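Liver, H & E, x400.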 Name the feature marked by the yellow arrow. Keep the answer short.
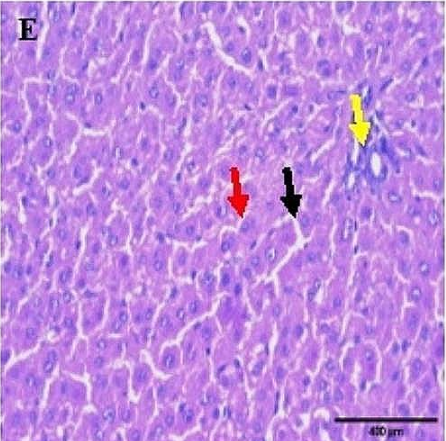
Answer: portal tract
